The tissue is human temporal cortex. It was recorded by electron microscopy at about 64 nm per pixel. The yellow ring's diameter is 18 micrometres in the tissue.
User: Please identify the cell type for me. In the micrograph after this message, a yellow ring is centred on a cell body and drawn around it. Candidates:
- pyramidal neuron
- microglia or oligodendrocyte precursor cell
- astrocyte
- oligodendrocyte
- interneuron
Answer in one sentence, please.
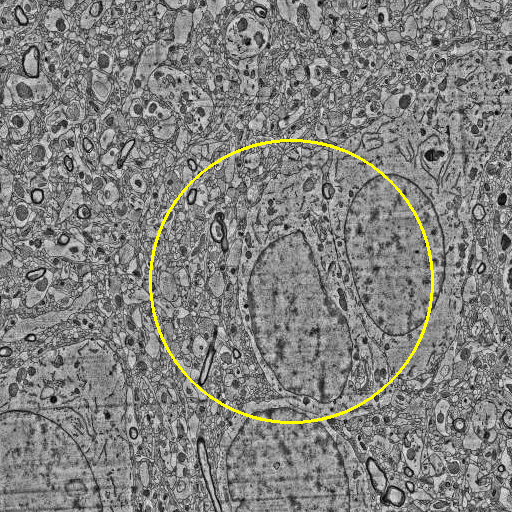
The ring is drawn around the cell body of an interneuron.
